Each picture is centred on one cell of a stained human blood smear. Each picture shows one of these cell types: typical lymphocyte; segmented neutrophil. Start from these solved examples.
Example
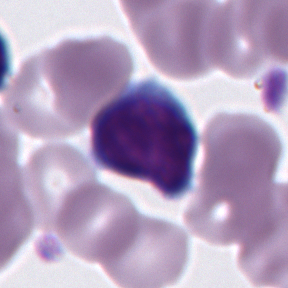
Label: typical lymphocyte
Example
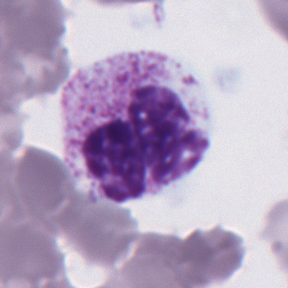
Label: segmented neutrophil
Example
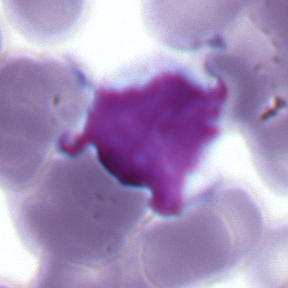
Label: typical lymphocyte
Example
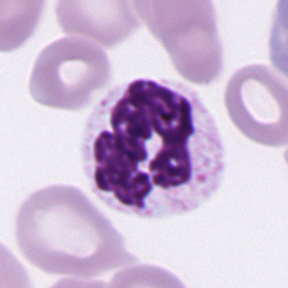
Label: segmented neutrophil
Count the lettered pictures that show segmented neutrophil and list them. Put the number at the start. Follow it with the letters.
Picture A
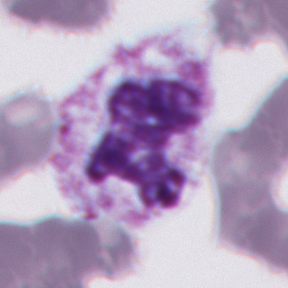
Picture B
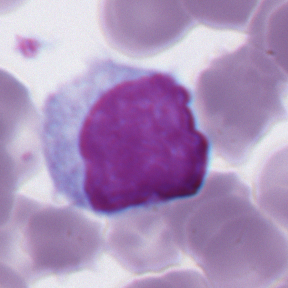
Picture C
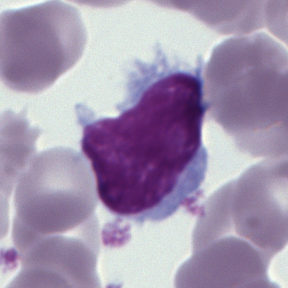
1, namely A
